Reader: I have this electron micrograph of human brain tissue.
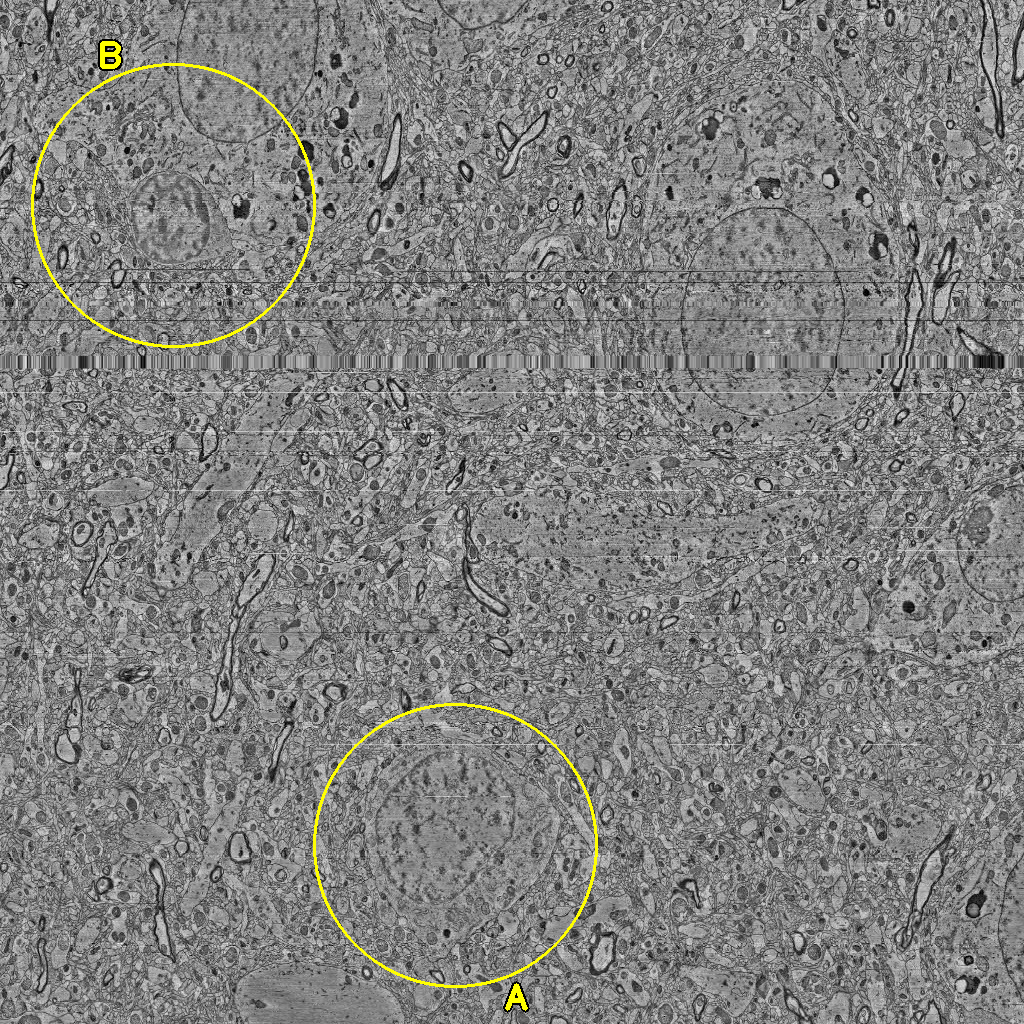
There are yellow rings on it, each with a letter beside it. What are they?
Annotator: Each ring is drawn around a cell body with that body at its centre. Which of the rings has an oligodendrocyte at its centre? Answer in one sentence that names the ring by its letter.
That cell sits at the centre of ring B.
